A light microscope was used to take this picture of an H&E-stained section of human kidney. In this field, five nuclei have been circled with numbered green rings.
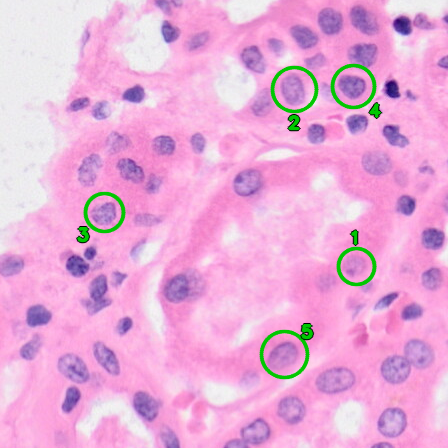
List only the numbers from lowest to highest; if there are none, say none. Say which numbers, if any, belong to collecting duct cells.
2, 4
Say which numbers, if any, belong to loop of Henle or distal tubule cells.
3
